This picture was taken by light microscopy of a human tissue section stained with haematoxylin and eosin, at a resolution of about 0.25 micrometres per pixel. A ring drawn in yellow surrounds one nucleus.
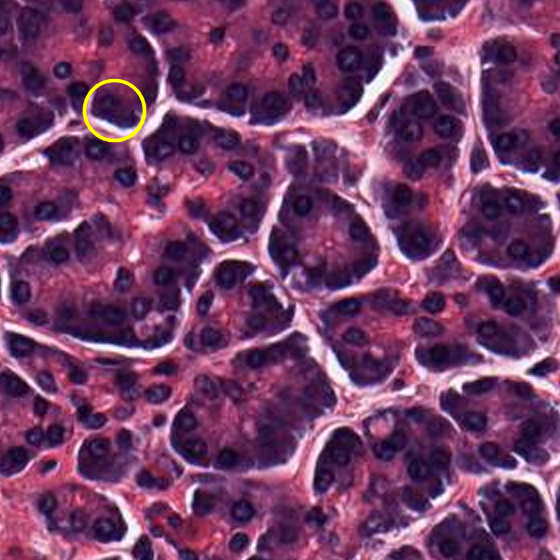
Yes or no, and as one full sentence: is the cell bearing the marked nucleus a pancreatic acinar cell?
Yes, the marked nucleus is contained in a pancreatic acinar cell.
